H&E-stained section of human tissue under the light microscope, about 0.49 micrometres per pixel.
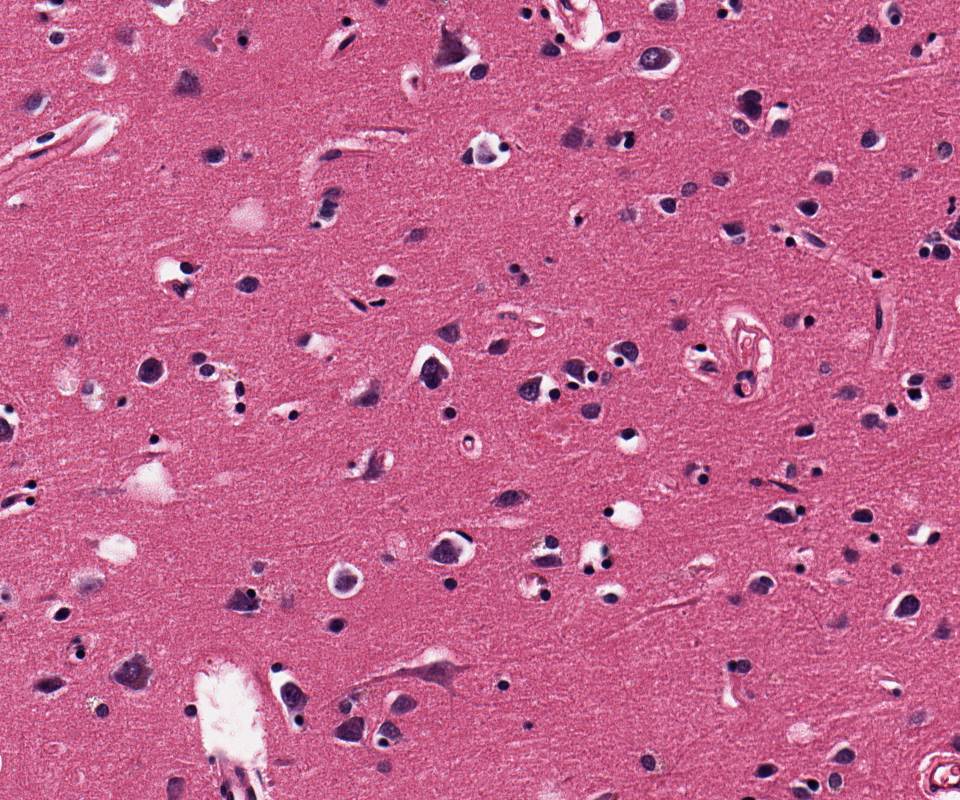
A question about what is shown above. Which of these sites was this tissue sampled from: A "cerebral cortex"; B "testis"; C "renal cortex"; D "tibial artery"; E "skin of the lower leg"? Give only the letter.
A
